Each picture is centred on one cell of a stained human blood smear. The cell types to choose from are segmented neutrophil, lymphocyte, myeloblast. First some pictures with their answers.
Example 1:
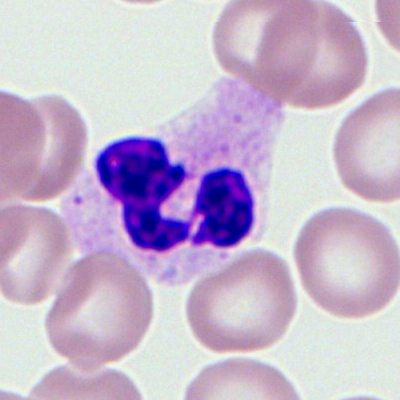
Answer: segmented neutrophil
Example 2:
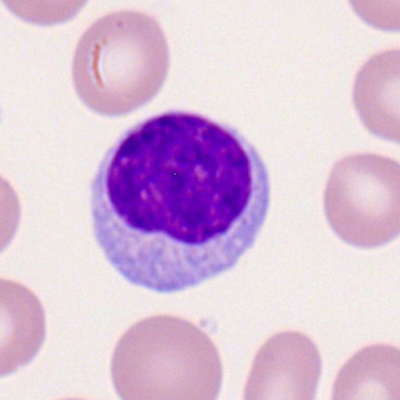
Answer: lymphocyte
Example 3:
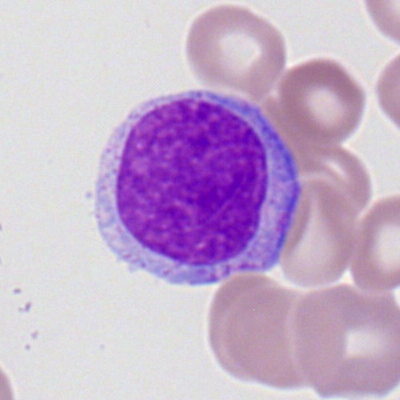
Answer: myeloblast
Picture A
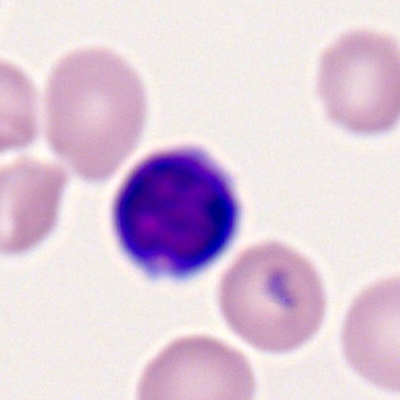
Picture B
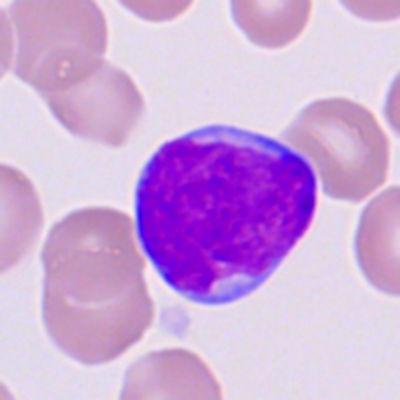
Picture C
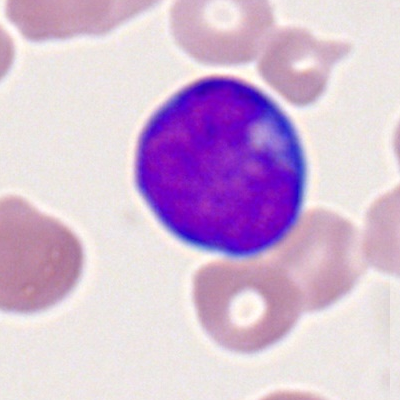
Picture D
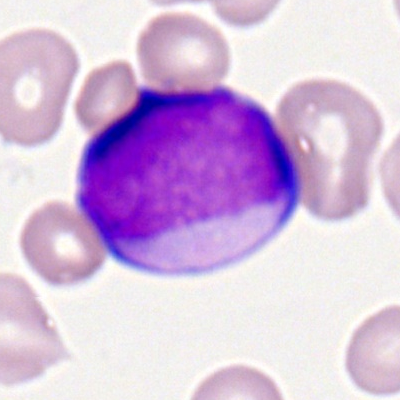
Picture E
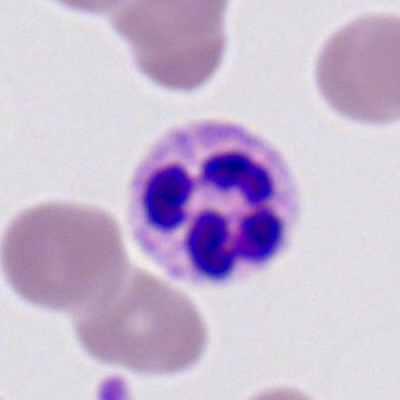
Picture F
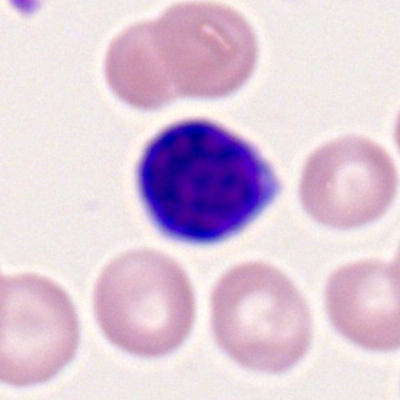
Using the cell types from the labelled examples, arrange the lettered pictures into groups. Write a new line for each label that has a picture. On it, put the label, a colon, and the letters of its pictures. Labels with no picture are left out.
segmented neutrophil: E
lymphocyte: A, F
myeloblast: B, C, D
